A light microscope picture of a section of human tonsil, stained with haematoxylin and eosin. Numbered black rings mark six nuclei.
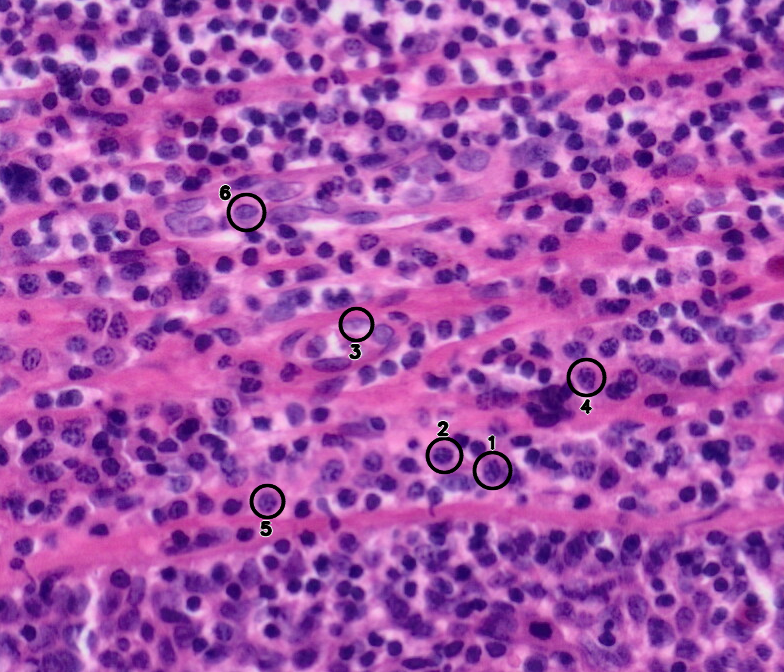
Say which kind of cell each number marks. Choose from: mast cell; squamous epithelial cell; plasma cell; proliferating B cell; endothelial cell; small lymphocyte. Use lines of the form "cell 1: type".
cell 1: plasma cell
cell 2: plasma cell
cell 3: endothelial cell
cell 4: plasma cell
cell 5: plasma cell
cell 6: endothelial cell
